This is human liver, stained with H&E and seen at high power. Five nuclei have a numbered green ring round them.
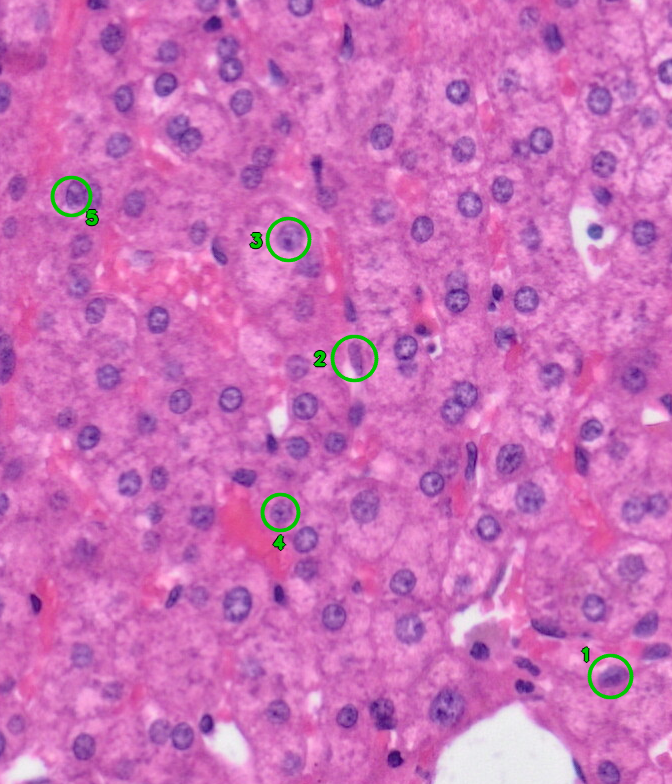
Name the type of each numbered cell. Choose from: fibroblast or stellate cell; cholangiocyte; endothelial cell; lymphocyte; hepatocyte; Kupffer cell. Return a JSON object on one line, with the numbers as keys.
{"1": "endothelial cell", "2": "Kupffer cell", "3": "hepatocyte", "4": "hepatocyte", "5": "hepatocyte"}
